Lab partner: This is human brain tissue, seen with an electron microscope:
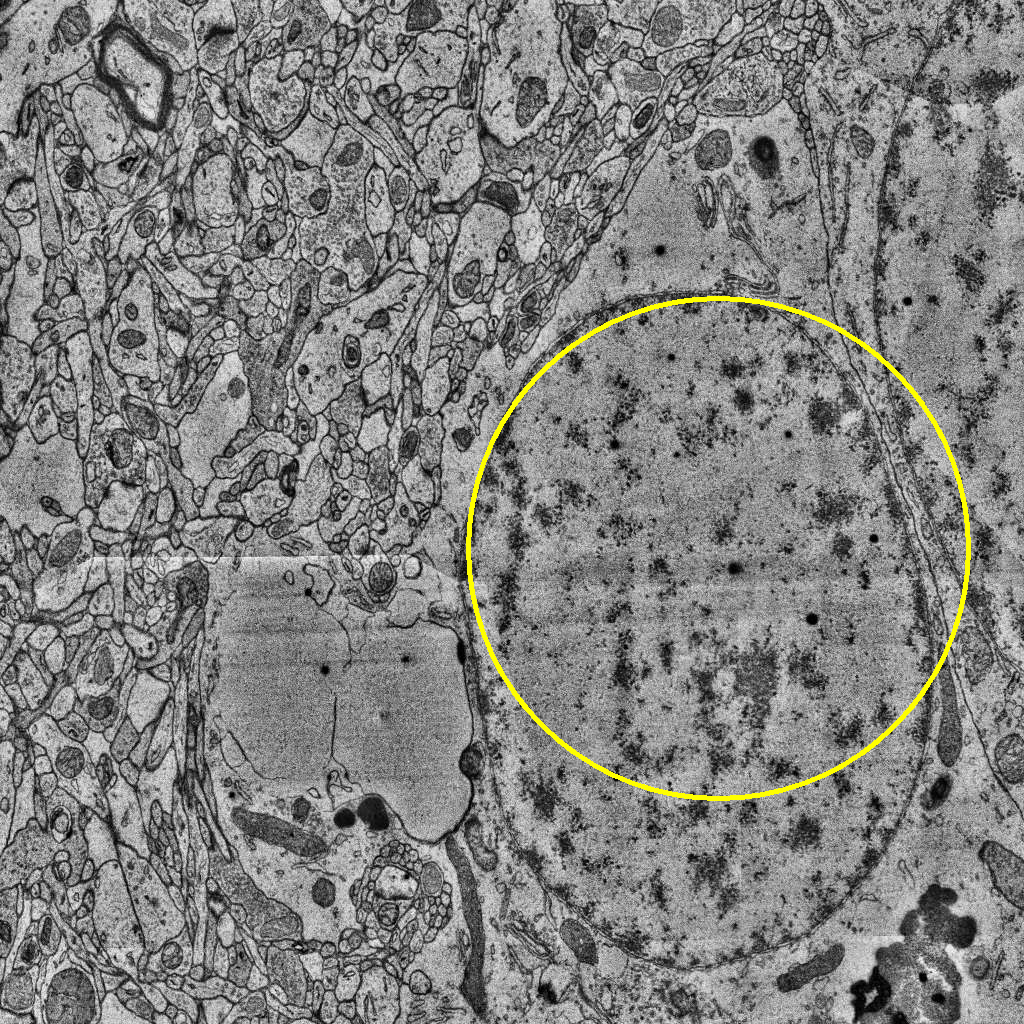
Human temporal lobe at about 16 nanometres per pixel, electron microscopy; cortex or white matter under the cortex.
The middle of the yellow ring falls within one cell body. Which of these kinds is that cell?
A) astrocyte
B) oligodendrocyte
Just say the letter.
A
